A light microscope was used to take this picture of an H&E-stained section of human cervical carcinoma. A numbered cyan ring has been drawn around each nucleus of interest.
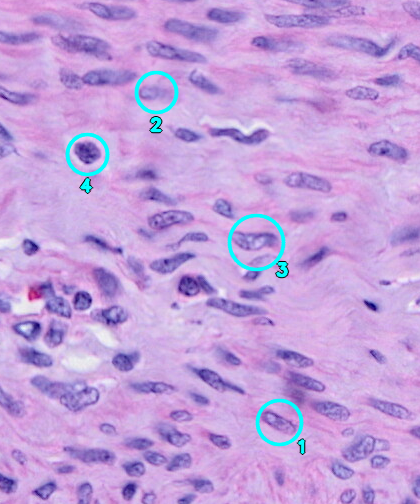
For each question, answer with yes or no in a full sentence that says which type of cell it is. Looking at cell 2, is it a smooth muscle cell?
Yes, the marked cell numbered 2 is a smooth muscle cell.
